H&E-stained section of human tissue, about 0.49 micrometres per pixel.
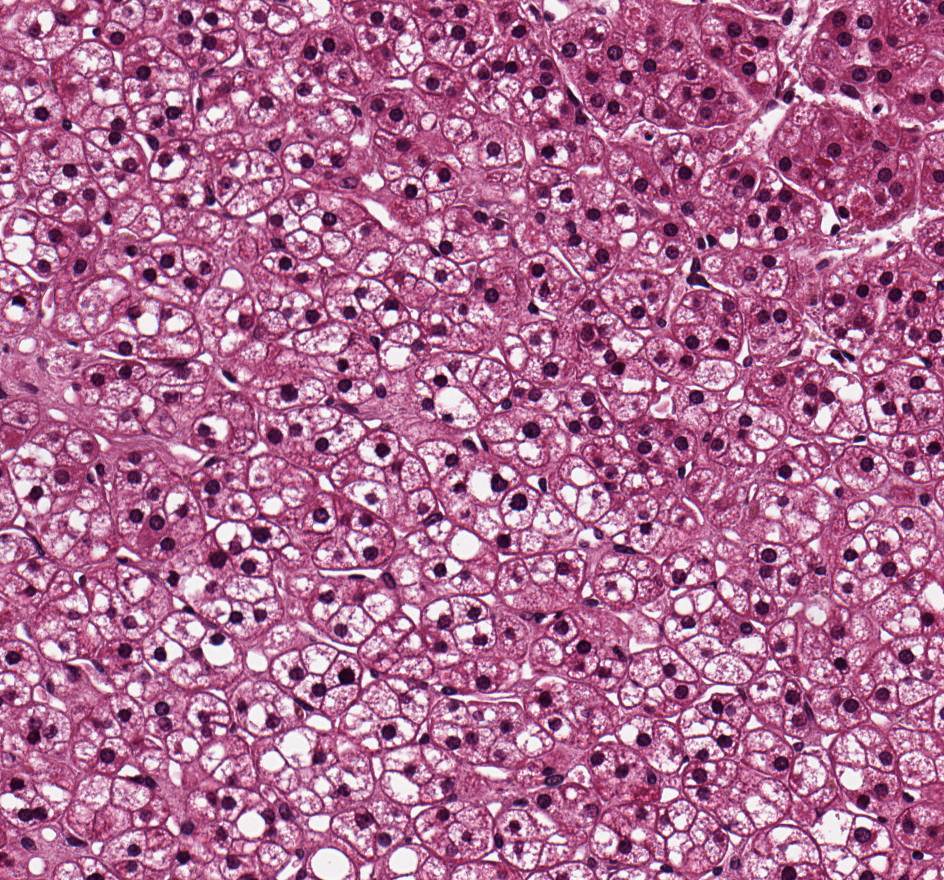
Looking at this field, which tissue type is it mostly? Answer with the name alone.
zona fasciculata of the adrenal gland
